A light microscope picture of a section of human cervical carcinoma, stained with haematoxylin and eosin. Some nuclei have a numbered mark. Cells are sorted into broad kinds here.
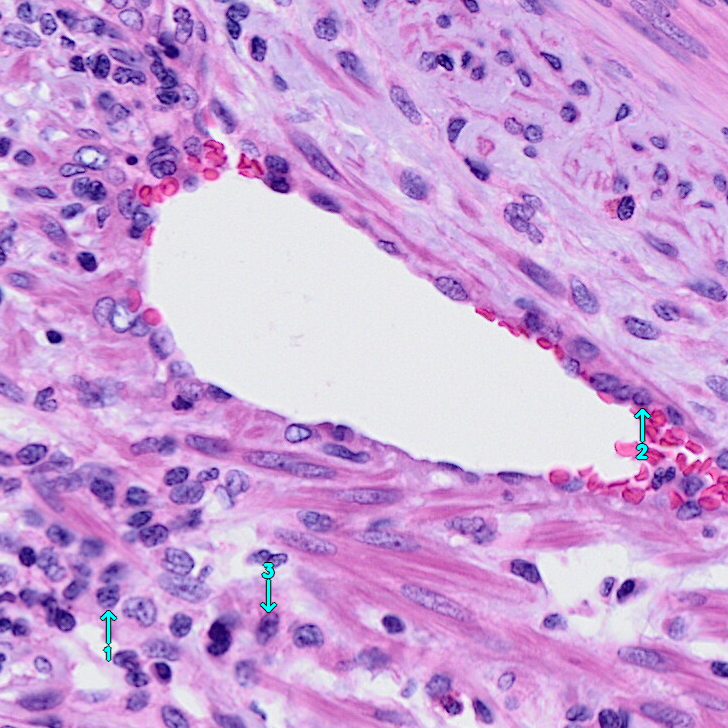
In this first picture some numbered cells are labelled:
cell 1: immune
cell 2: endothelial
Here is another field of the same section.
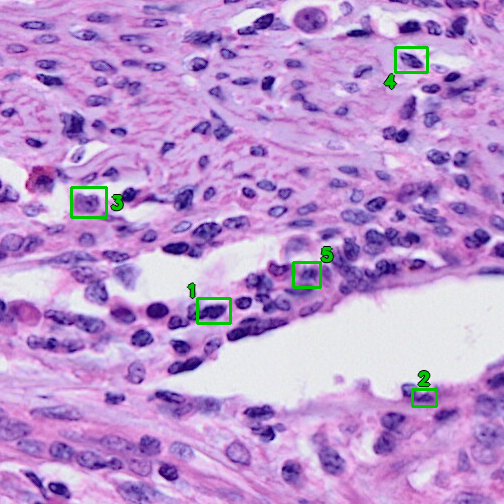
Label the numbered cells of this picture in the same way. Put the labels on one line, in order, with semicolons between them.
immune; endothelial; immune; immune; immune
